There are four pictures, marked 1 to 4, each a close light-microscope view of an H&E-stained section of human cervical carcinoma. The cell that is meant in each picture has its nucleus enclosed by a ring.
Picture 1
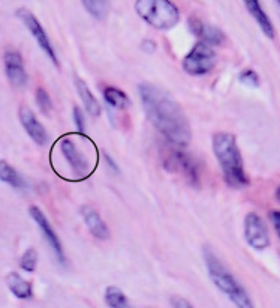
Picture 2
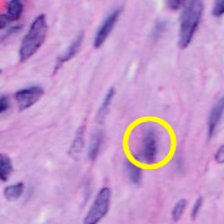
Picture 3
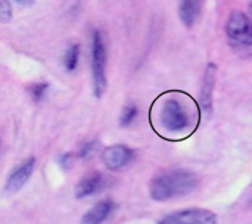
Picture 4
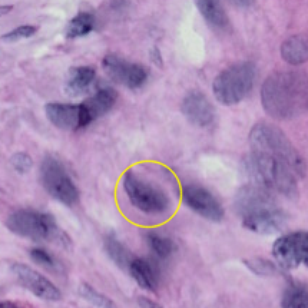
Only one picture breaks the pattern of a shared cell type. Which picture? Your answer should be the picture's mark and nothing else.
1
